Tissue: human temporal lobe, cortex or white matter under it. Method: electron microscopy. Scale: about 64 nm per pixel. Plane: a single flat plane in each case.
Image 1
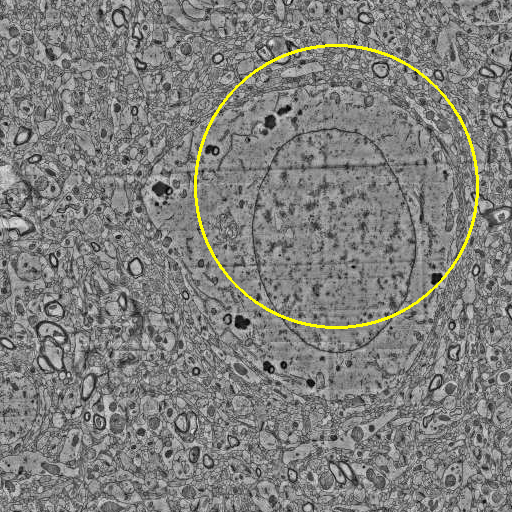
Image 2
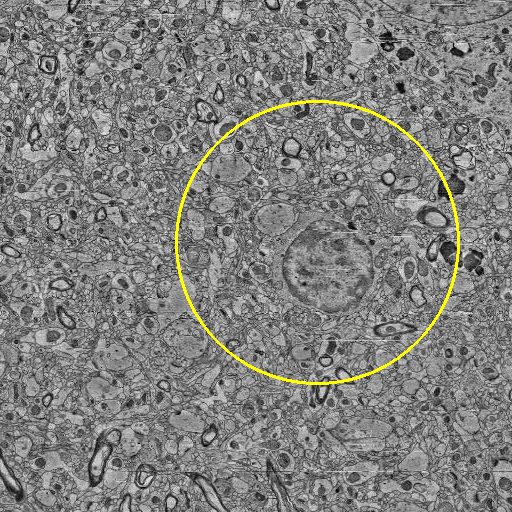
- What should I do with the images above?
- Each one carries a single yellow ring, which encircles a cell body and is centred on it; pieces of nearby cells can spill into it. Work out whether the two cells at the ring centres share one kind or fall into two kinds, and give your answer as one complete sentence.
The ring-centre cells of Image 1 and Image 2 fall into two kinds.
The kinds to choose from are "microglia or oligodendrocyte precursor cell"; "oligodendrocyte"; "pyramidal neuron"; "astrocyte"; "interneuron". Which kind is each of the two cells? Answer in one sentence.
Of the two, the first cell is a pyramidal neuron and the second cell is an oligodendrocyte.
